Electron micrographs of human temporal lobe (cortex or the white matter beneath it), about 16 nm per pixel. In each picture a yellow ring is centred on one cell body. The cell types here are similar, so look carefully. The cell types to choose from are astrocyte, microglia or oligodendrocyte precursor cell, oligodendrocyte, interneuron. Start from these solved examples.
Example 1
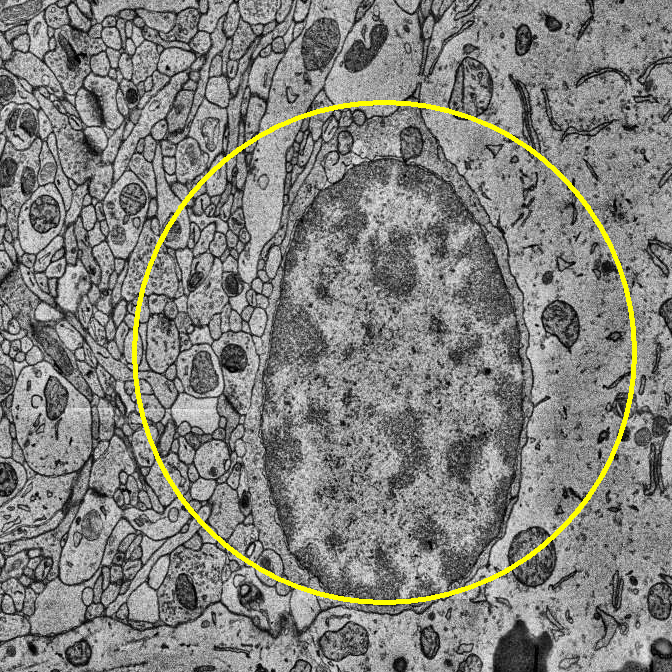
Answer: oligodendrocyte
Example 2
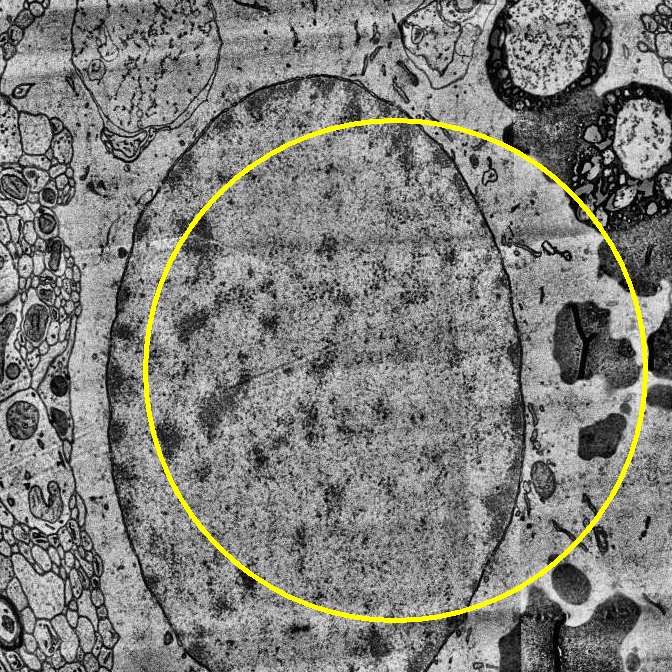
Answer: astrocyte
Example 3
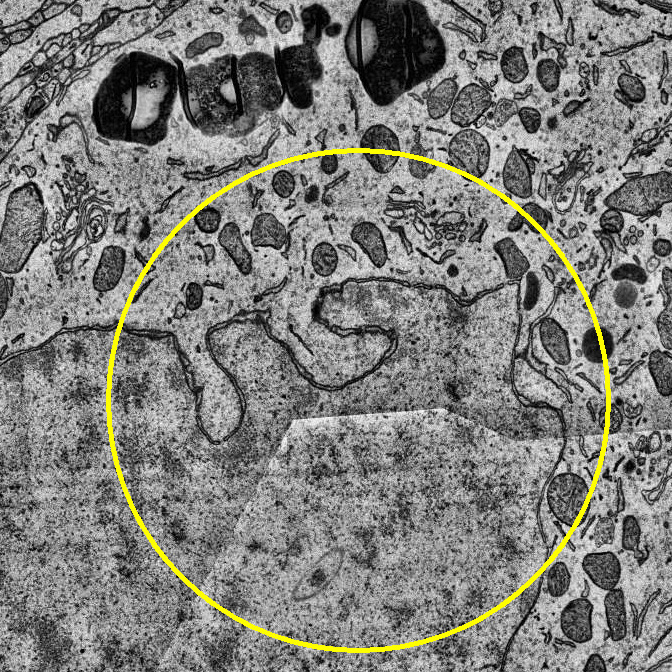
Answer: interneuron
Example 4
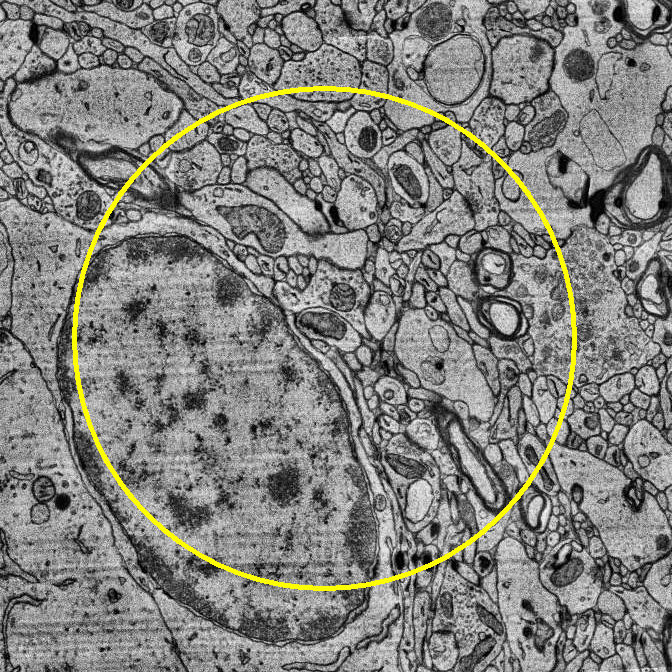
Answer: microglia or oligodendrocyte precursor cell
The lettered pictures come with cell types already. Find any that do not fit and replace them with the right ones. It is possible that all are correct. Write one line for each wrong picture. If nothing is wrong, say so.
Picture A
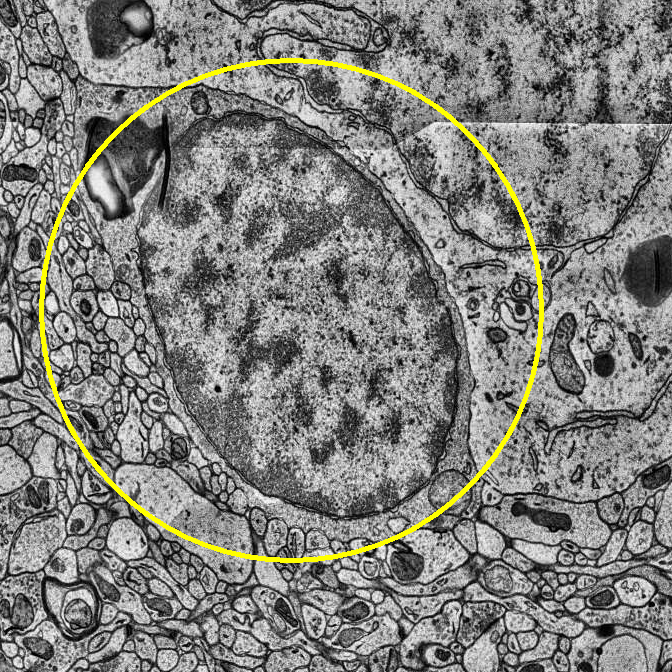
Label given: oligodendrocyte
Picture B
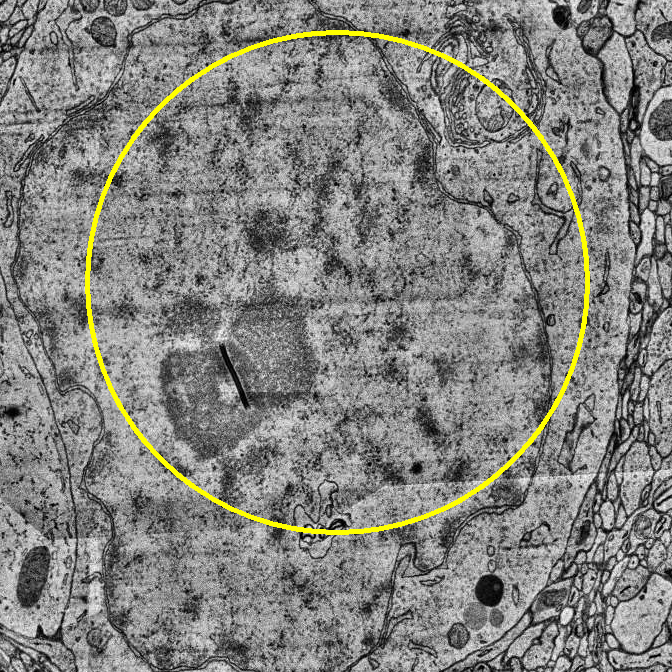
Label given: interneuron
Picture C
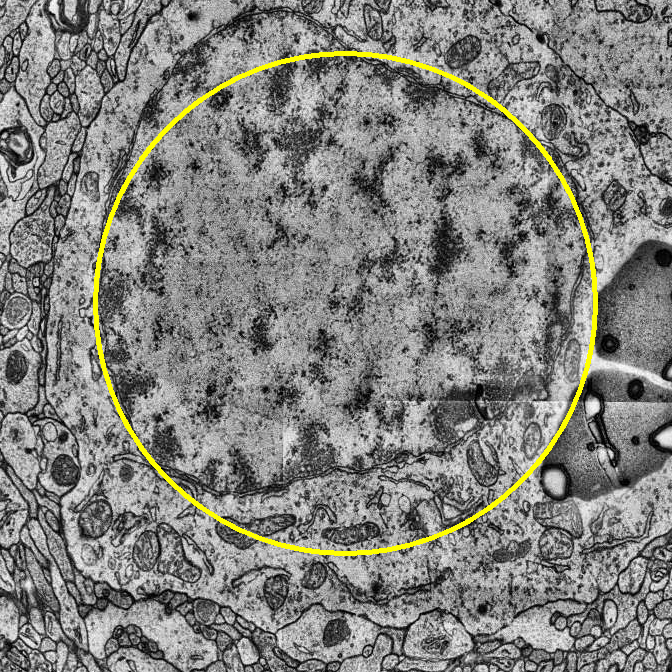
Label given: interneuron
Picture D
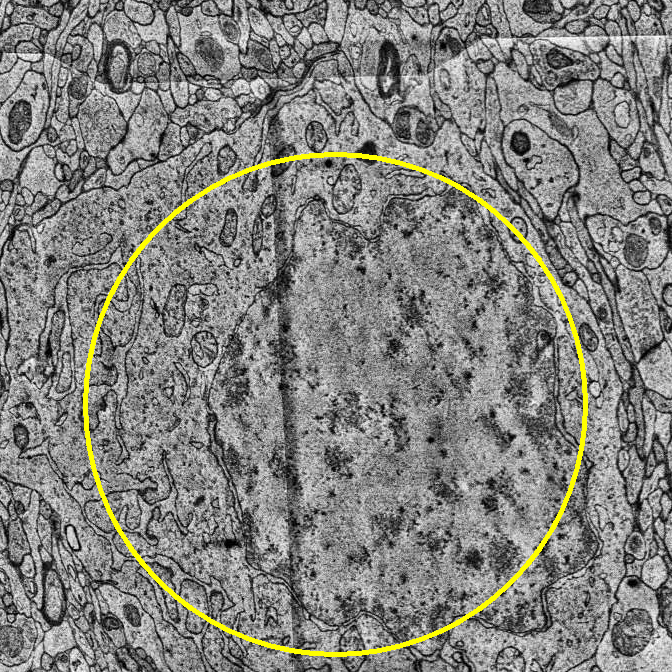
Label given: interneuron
None of the labels needs changing.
